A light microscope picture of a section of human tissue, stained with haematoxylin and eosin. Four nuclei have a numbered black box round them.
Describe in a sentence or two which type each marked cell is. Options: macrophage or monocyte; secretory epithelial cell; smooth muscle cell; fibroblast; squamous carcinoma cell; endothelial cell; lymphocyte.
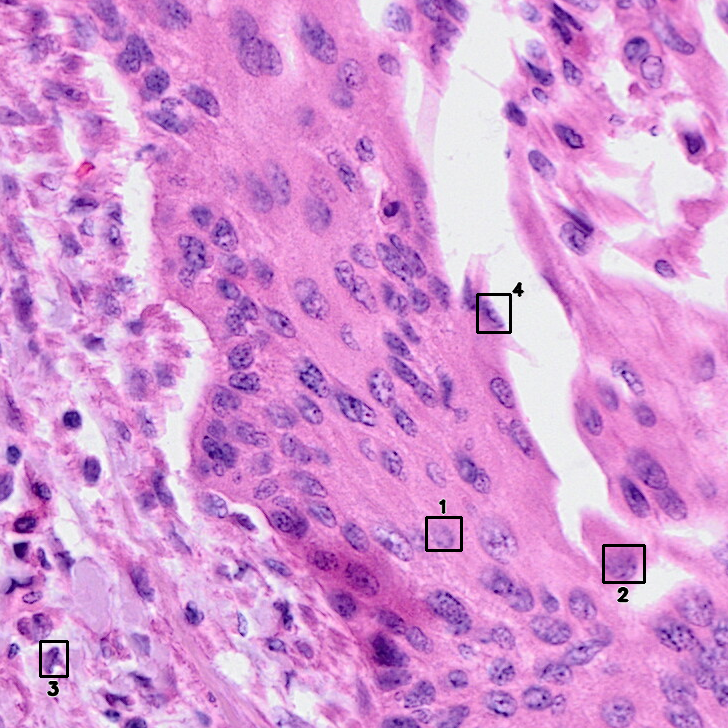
Cells 1, 2 and 4 are squamous carcinoma cells. Cell 3 is a macrophage or monocyte.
